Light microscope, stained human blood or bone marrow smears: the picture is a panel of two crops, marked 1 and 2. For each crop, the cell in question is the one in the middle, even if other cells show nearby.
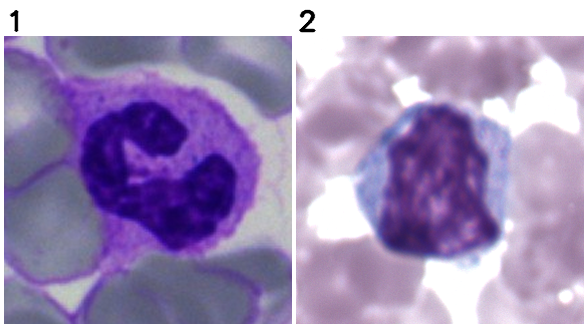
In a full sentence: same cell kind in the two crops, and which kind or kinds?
No, that is not right; crop 1 shows a segmented neutrophil and crop 2 shows a monocyte.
